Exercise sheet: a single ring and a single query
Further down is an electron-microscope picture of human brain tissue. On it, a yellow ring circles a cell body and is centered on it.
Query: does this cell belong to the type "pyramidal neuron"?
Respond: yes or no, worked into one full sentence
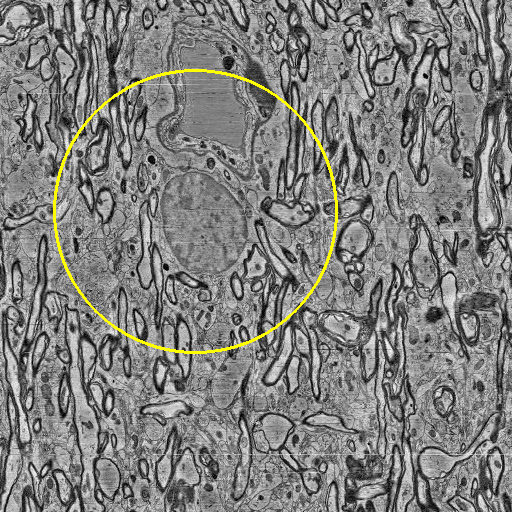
No, this ringed cell, found at the center of the ring in the picture, is of a different type.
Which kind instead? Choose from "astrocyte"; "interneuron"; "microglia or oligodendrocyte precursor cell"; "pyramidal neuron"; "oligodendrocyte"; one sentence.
As it turns out, the cell at the ring centre is an oligodendrocyte.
